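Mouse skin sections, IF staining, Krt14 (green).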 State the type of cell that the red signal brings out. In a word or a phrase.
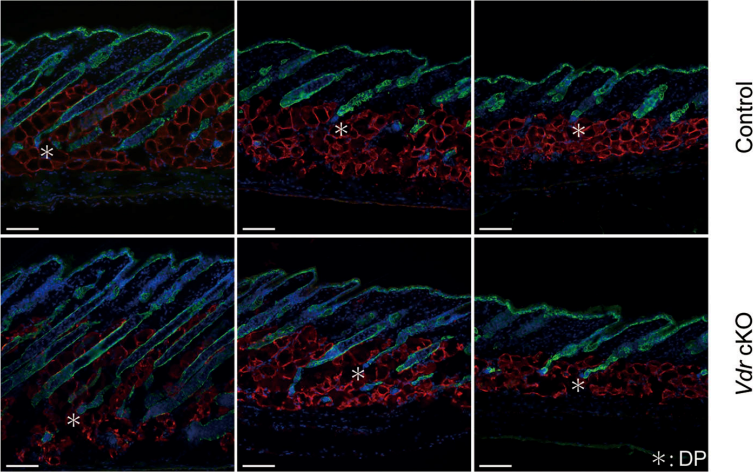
adipocyte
